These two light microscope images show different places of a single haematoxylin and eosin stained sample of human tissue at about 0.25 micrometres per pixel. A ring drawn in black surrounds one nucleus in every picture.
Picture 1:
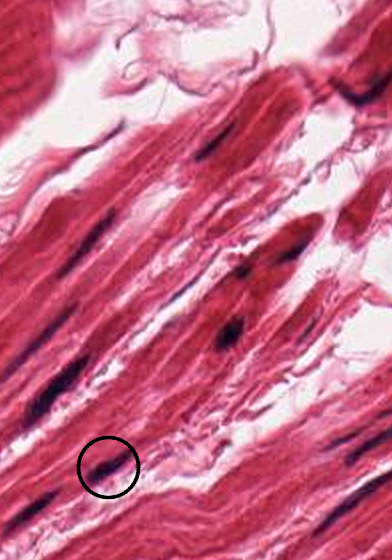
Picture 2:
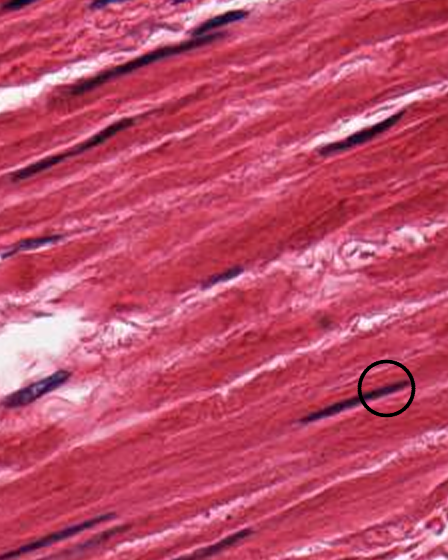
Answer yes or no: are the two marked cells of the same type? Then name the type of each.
Yes, both are smooth muscle cells.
